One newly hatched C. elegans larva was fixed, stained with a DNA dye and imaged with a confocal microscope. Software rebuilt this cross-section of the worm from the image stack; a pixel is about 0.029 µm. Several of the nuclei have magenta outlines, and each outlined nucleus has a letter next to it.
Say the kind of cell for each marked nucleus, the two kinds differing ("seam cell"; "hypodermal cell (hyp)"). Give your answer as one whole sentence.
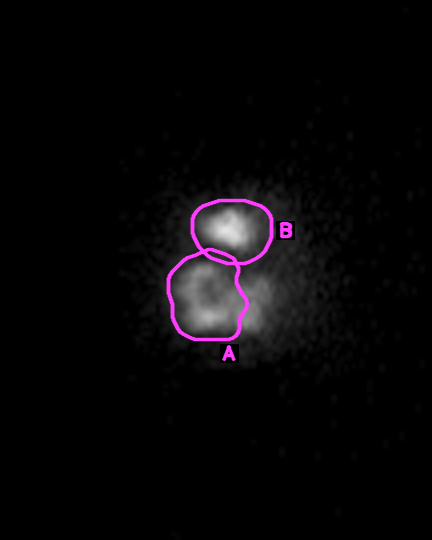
One is from a seam cell, namely A, and the other, B, is from a hypodermal cell (hyp).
